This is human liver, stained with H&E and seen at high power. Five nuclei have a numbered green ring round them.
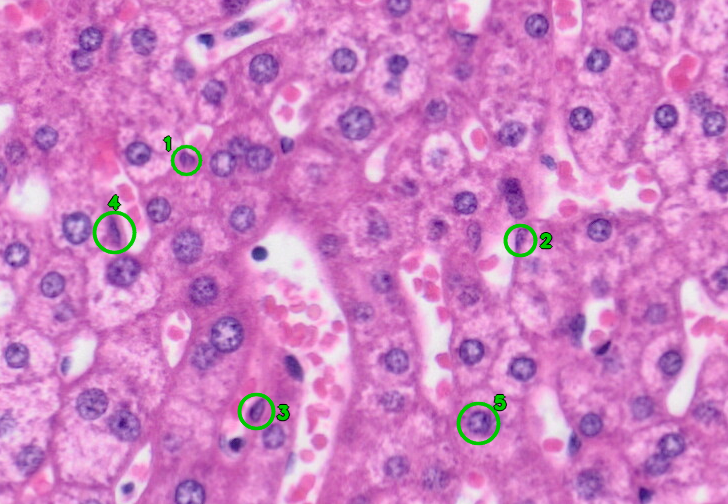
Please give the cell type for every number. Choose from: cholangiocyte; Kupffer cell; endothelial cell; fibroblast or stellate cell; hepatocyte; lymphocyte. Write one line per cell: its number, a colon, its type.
1: fibroblast or stellate cell
2: fibroblast or stellate cell
3: Kupffer cell
4: Kupffer cell
5: hepatocyte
